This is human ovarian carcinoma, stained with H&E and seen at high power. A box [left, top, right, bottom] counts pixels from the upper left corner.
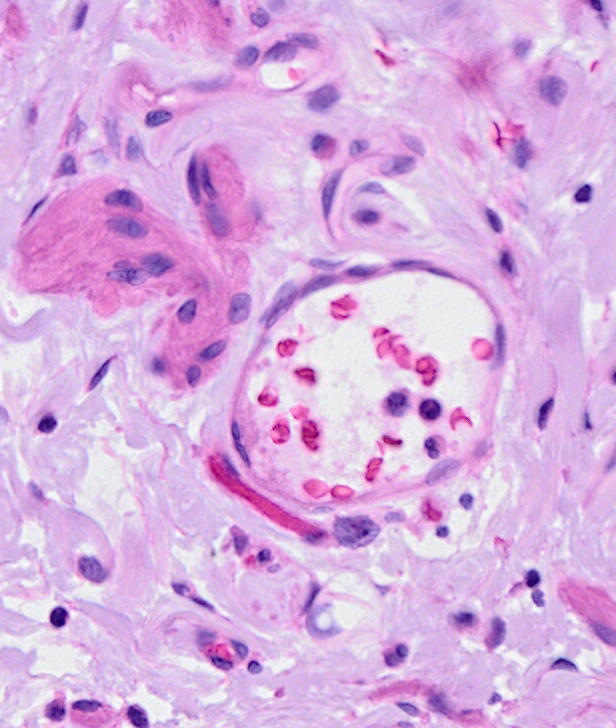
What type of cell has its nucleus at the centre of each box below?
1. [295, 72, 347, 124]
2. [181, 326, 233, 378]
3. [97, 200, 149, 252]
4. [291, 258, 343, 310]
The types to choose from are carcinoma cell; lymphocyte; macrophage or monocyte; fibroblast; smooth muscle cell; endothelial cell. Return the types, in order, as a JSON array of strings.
["fibroblast", "smooth muscle cell", "smooth muscle cell", "endothelial cell"]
